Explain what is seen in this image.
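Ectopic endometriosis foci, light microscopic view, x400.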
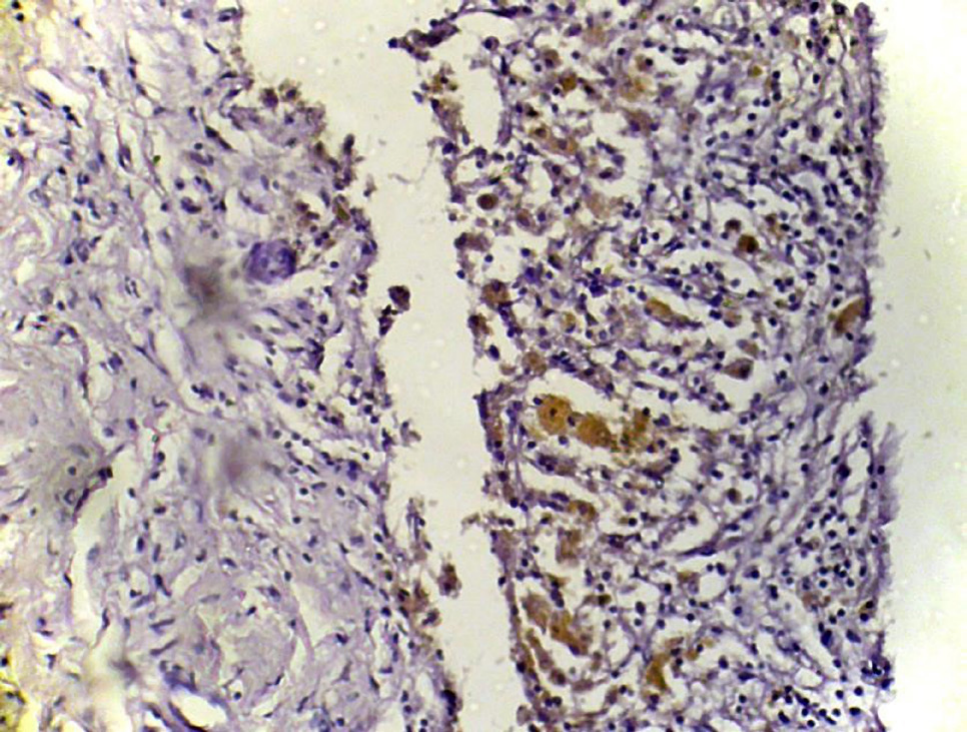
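Brown granular deposits fill clusters of cells and elongated strands scattered through the stroma, and also line the tissue edges that border the cleft. The left part is less cellular and shows only scattered faint brown deposits near its free edge.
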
